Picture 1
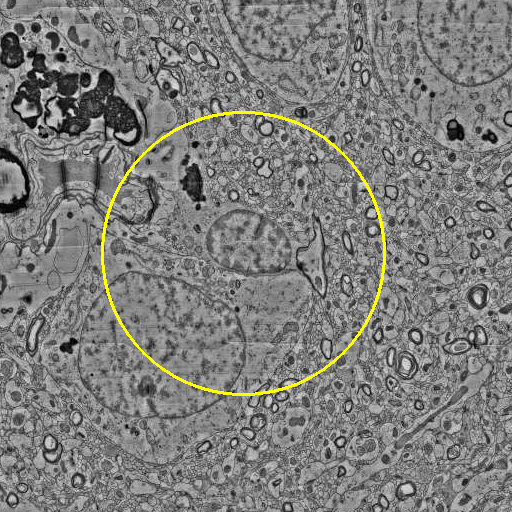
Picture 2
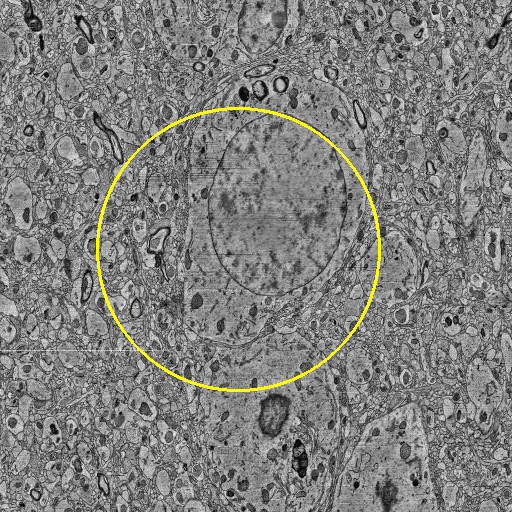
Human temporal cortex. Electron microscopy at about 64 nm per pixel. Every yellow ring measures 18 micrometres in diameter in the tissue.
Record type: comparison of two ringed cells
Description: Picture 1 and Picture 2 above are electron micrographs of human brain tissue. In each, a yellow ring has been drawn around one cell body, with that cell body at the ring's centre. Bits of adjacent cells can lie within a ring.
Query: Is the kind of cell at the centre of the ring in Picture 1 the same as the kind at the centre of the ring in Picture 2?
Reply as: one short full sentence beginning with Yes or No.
No, the two ringed cells are of two separate kinds.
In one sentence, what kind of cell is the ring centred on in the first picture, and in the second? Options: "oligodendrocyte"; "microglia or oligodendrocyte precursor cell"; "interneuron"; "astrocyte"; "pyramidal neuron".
The cell at the centre of the second ring is a pyramidal neuron; the first ring's cell is an oligodendrocyte.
